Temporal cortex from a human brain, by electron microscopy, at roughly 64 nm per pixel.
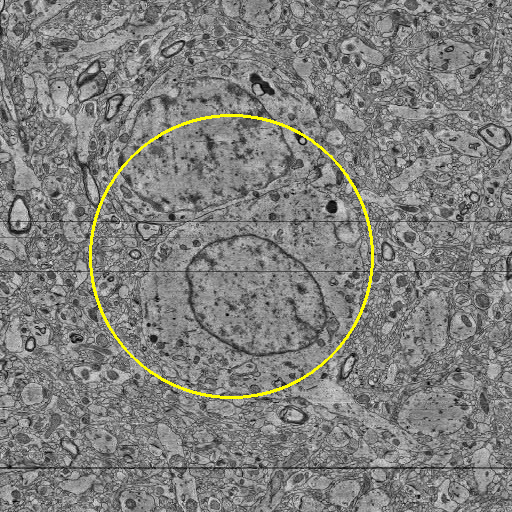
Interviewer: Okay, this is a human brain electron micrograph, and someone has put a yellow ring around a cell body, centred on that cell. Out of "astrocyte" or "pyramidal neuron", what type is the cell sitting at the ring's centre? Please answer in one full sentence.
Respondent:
The cell at the centre of the yellow ring in this picture is a pyramidal neuron.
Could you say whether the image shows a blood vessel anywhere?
No, no blood vessel shows in the picture.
